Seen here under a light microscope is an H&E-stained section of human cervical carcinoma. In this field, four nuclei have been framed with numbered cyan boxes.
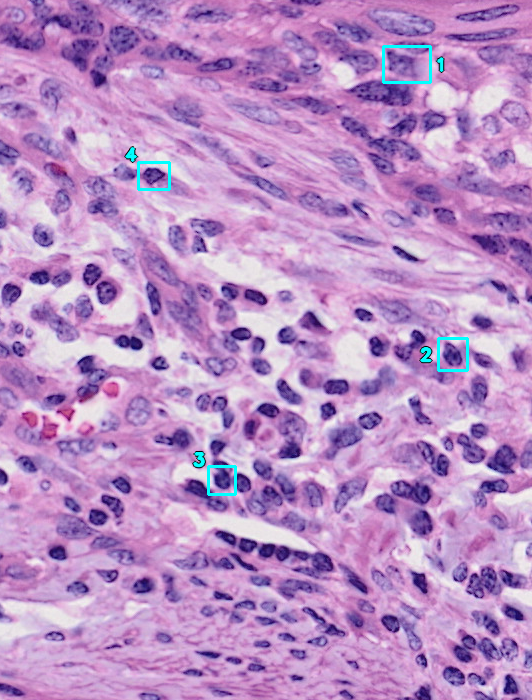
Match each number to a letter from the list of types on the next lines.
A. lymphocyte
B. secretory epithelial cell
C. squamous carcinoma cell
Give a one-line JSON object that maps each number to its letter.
{"1": "C", "2": "A", "3": "A", "4": "A"}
